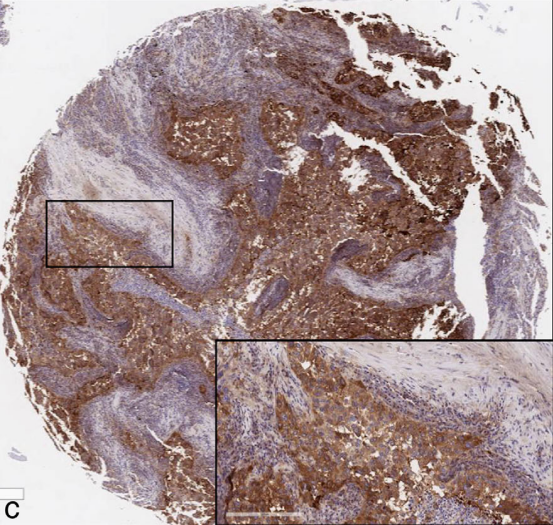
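Carcinoma core with large solid nests of tumor cells set in fibrous stroma. The tumor cells are polygonal with ample cytoplasm that is stained diffusely deep brown. The surrounding stroma of spindle-shaped cancer‐associated fibroblasts and collagen is pale, mostly blue with only faint tint. The inset shows brown tumor cells abutting a pale band of fibrous stroma.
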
